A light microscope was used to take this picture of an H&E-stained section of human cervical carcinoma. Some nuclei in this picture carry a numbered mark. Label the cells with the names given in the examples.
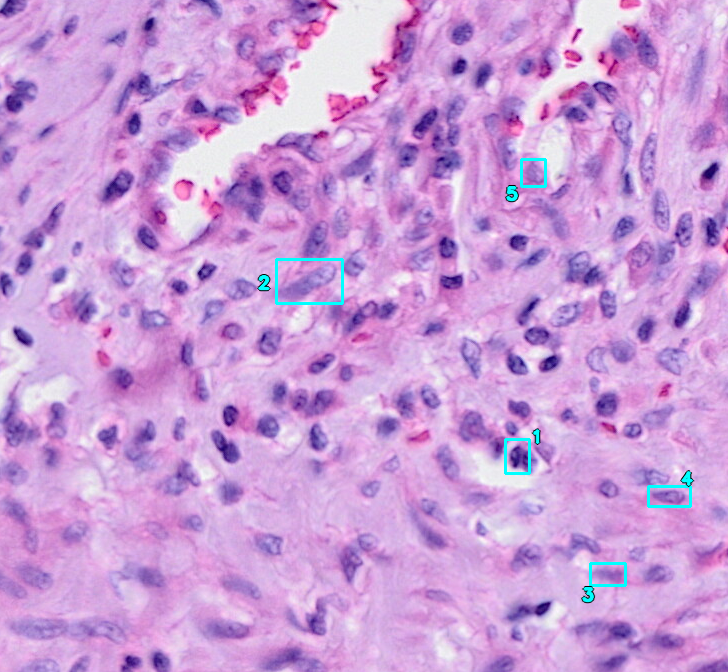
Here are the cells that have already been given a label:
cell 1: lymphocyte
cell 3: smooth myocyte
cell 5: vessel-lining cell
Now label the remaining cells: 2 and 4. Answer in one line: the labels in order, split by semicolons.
vessel-lining cell; smooth myocyte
